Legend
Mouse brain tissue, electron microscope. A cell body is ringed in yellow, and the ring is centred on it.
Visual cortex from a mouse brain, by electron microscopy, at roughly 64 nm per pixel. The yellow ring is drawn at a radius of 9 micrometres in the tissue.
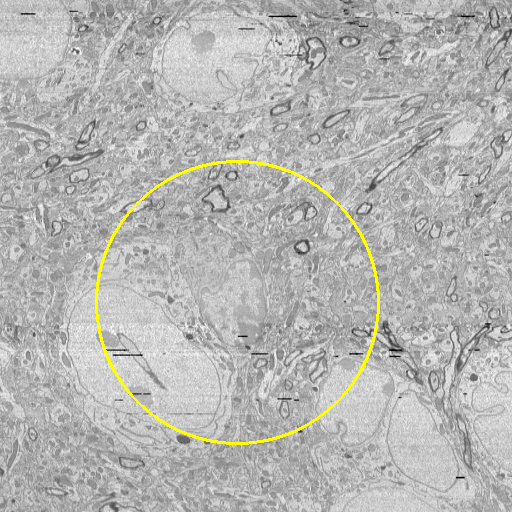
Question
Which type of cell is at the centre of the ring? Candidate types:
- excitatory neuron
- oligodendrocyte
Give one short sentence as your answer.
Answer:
The yellow ring is centred here on an oligodendrocyte.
